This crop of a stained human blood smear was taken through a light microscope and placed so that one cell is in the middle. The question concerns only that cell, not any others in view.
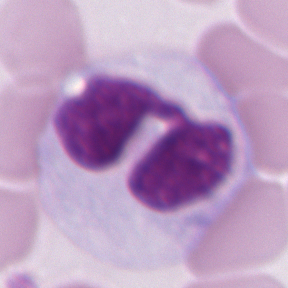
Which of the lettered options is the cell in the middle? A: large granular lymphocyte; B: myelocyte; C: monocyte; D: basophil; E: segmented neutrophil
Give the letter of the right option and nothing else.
C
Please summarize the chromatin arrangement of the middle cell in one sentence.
Just so you know, its chromatin is coarsely clumped.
